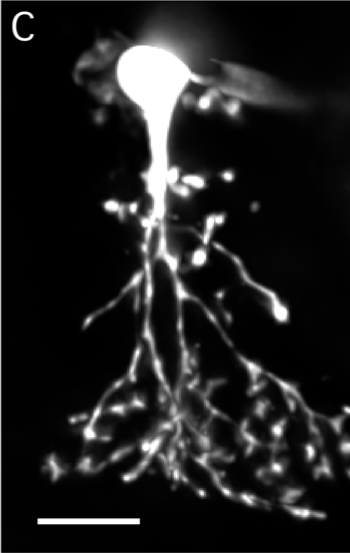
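A round cell body sits at the top and gives rise to one thick dendrite that runs straight down. From the upper part of this dendrite small bulbous appendages bud off on short stalks, while lower down it splits into a dense, bushy arbor of thin, beaded branches. A recording pipette is faintly visible touching the cell body at the upper right.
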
